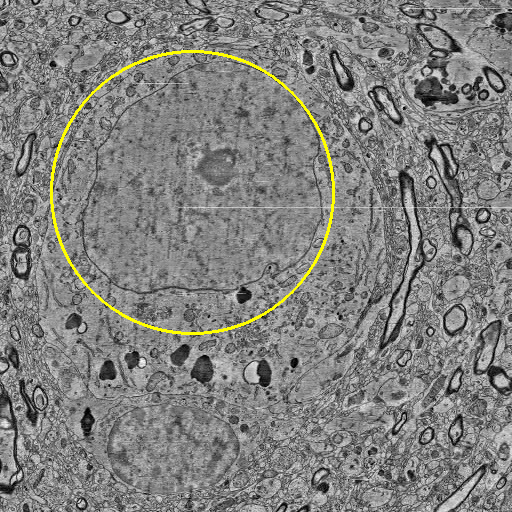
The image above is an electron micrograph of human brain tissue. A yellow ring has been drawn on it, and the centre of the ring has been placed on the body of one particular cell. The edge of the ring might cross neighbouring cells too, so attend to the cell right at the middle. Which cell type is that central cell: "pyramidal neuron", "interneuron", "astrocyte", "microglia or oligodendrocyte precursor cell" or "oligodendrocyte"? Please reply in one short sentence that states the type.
The central cell in the ring is a pyramidal neuron.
